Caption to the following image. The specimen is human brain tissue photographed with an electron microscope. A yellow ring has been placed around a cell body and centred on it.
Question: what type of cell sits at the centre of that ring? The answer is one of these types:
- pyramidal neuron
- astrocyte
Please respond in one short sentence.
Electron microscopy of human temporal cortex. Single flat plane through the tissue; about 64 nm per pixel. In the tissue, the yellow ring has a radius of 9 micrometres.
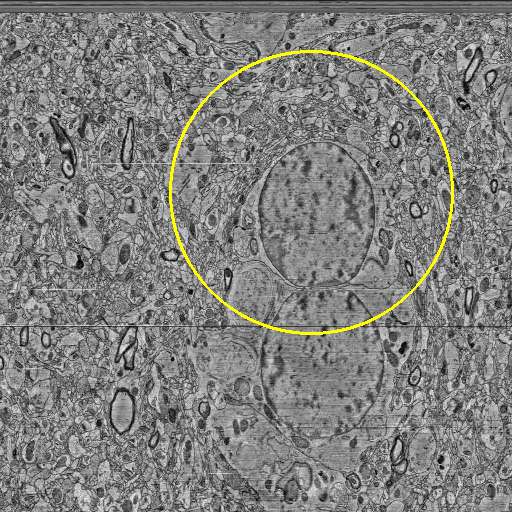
The ring surrounds the cell body of an astrocyte.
